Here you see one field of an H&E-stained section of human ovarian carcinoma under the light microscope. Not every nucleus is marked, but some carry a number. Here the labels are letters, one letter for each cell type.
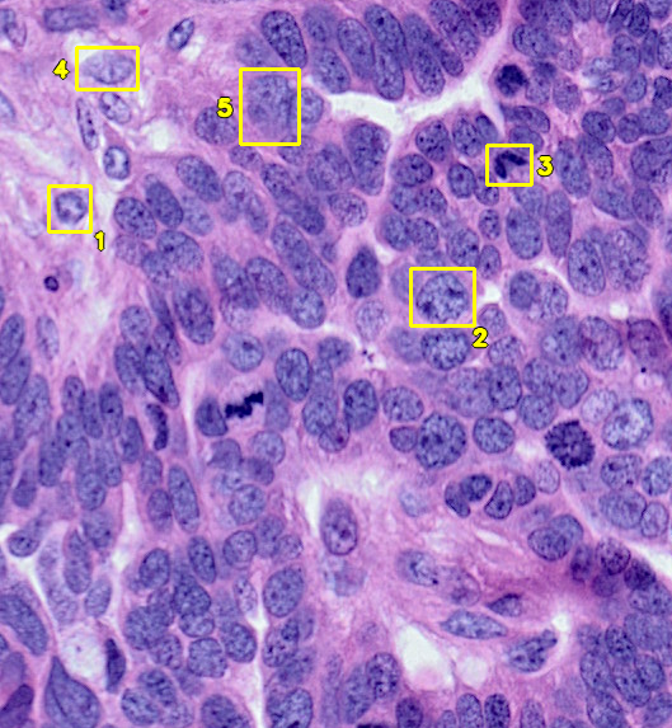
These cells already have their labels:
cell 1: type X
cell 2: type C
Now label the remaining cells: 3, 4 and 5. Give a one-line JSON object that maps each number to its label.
{"3": "type C", "4": "type X", "5": "type C"}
